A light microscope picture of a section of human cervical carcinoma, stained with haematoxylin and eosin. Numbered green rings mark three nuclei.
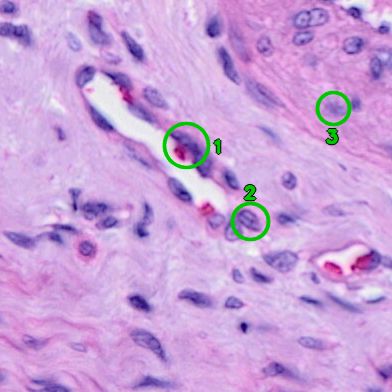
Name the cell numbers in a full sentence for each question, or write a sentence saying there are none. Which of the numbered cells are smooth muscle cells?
As for the numbered cells, only cell 3 is a smooth muscle cell.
